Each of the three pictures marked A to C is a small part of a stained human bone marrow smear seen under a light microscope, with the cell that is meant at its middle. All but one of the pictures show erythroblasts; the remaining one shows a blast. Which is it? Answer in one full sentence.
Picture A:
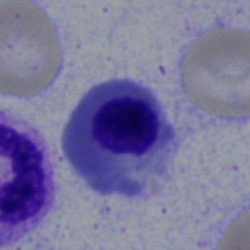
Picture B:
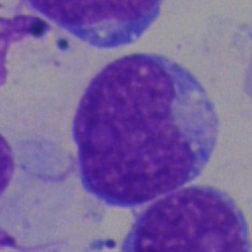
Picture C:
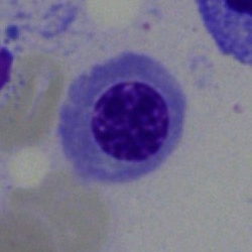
The picture with the blast is B.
